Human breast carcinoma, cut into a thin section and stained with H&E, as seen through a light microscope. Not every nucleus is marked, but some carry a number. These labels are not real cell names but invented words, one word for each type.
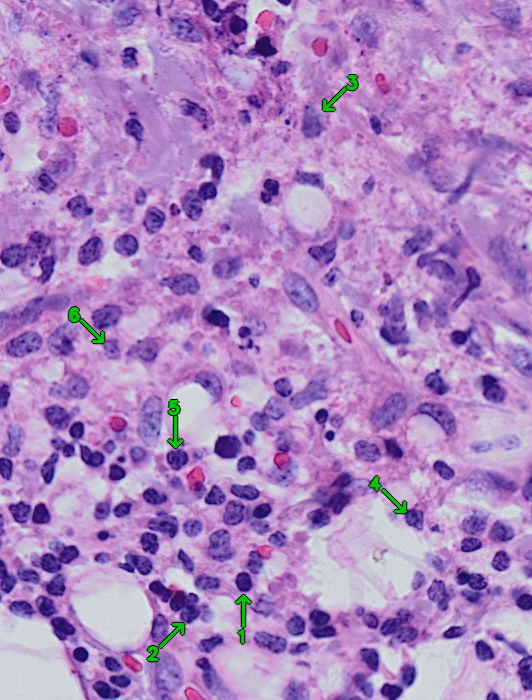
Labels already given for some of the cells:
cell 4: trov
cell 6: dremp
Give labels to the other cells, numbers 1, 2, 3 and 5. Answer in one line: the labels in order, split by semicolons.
trov; trov; dremp; trov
